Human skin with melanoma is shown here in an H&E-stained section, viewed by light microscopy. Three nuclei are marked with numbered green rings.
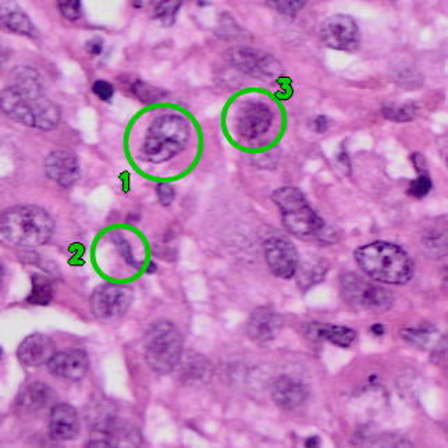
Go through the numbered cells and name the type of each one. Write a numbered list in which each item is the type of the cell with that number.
1. melanoma cell
2. macrophage or monocyte
3. melanoma cell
